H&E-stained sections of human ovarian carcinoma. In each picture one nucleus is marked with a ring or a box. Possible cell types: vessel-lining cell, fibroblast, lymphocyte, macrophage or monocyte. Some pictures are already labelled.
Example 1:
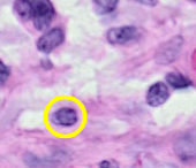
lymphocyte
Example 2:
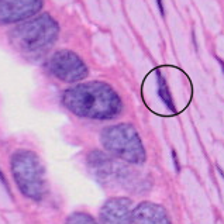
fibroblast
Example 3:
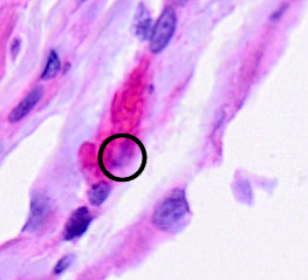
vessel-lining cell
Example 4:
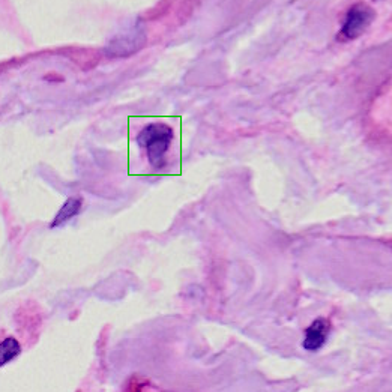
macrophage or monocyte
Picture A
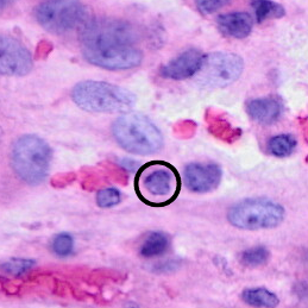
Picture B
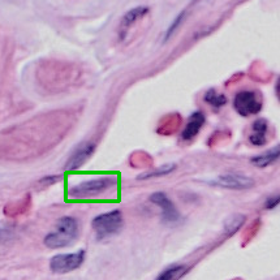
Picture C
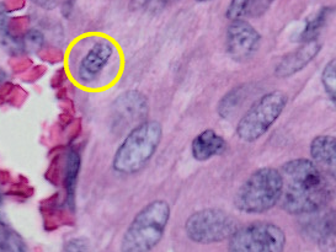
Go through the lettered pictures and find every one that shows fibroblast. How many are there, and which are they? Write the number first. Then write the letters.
0, none of them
